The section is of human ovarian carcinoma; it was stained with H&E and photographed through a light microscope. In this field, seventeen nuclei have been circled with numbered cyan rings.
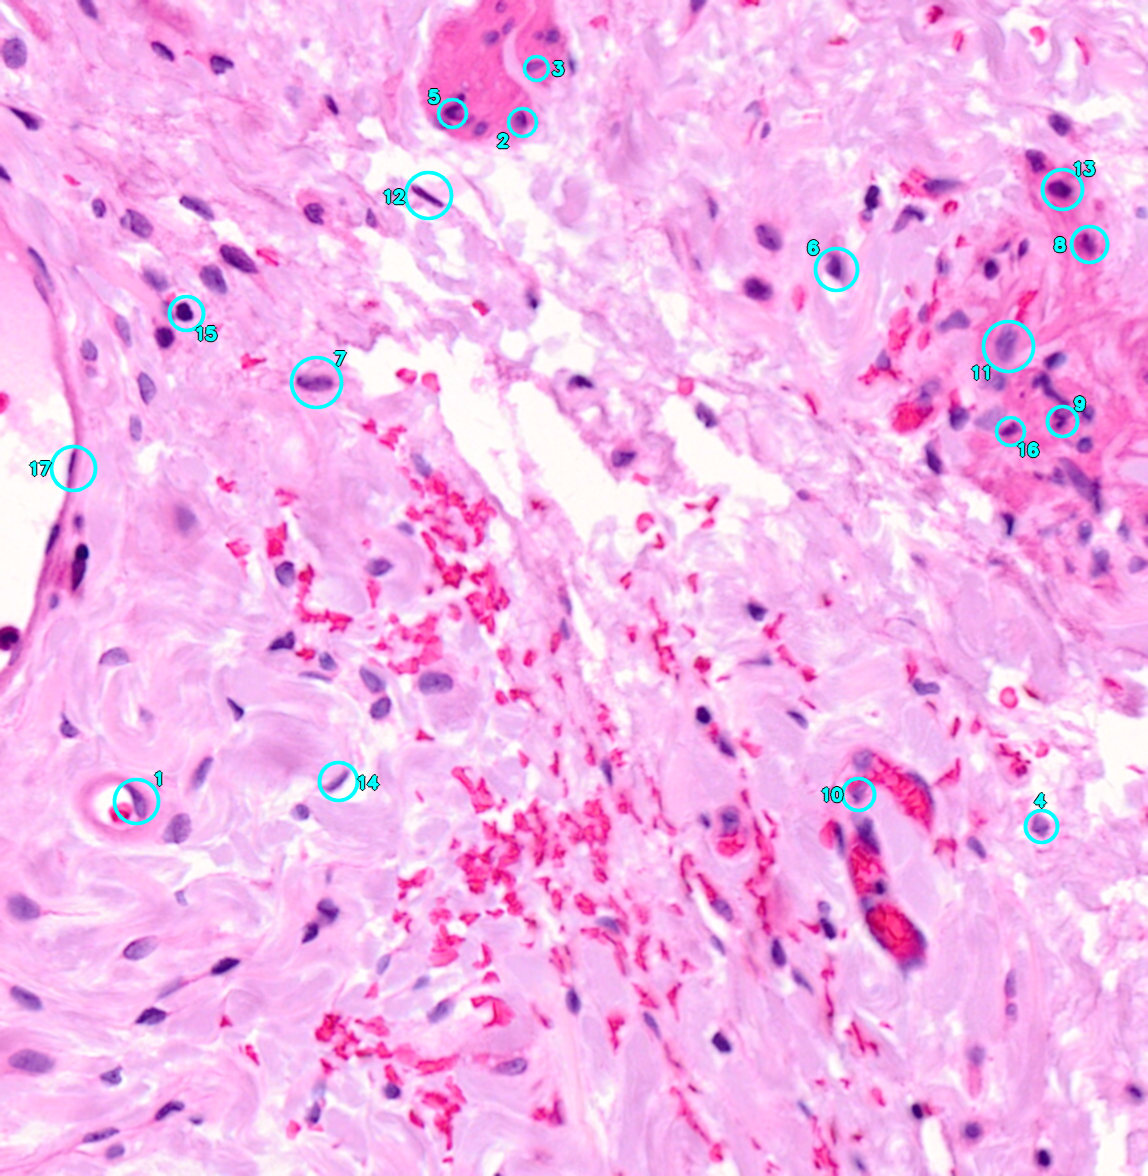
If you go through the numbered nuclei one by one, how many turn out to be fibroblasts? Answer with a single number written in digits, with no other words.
4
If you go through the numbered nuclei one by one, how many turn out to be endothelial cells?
4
